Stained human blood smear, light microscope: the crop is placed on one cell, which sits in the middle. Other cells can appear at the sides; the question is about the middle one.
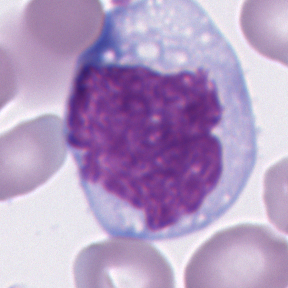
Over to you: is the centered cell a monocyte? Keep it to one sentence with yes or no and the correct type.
Yes, in this crop the cell in the middle is a monocyte.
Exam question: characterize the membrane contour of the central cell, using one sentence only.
The cell shows a smooth outline that lacks any surface projections.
